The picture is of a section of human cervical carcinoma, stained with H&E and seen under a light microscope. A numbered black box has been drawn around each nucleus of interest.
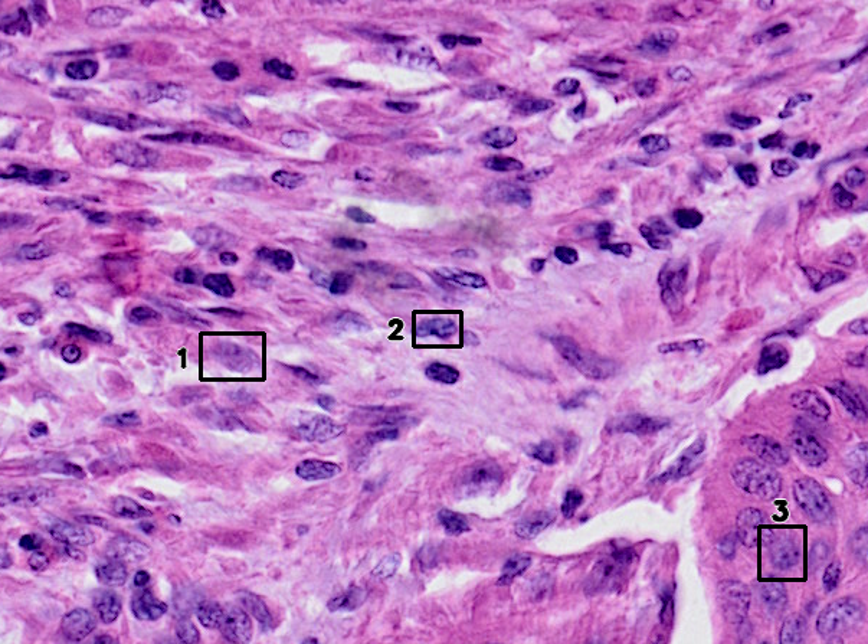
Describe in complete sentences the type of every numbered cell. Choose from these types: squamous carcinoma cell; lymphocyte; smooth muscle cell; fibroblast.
Cell 1 is a fibroblast. Cell 2 is a lymphocyte. Cell 3 is a squamous carcinoma cell.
